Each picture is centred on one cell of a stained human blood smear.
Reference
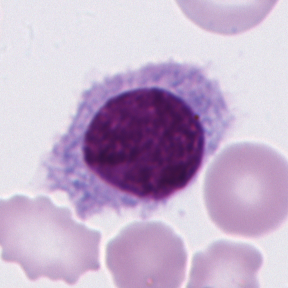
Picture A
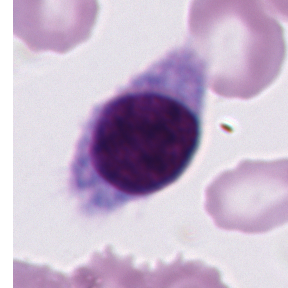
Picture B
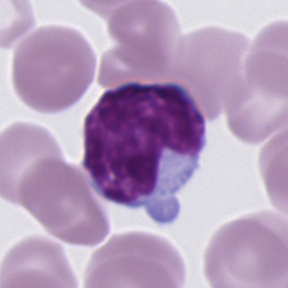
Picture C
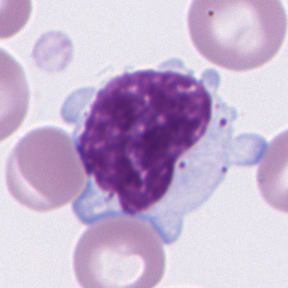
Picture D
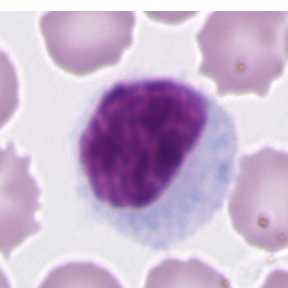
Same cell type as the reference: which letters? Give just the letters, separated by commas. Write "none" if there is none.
A, D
